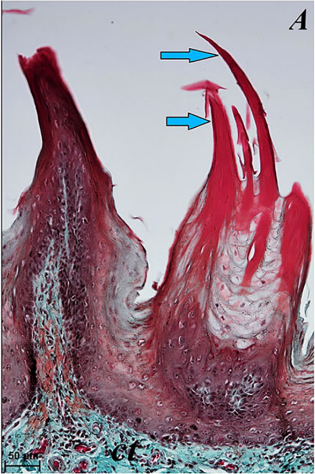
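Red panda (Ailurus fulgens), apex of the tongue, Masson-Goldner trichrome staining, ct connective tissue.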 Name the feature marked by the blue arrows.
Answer: stratum corneum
